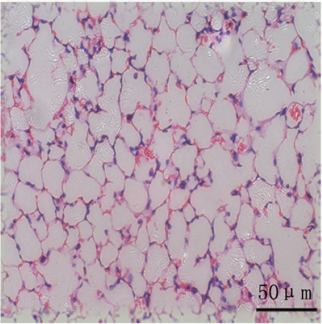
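Lung tissue with open, regular alveoli separated by thin pink septa. Scattered blue nuclei sit within the walls, mostly at the junctions of septa, and the air spaces are clear of cells.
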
